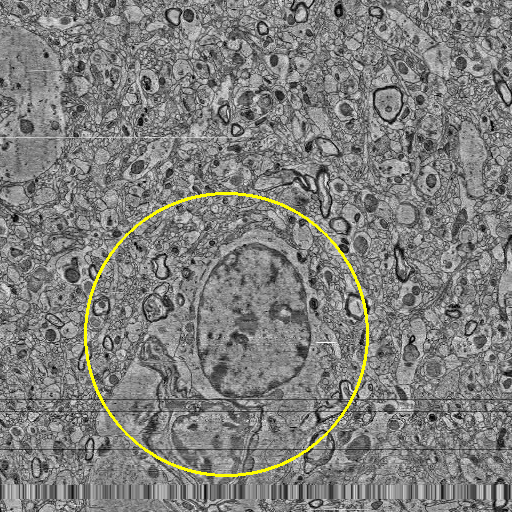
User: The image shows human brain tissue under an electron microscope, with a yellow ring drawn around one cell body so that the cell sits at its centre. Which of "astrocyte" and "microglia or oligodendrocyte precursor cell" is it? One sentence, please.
At the centre of the ring sits a microglial cell or oligodendrocyte precursor cell.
